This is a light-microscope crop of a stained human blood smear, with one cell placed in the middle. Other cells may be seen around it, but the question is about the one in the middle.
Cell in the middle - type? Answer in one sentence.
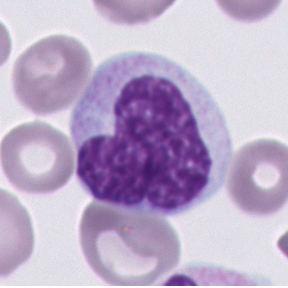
The cell sitting right in the middle is a band neutrophil.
